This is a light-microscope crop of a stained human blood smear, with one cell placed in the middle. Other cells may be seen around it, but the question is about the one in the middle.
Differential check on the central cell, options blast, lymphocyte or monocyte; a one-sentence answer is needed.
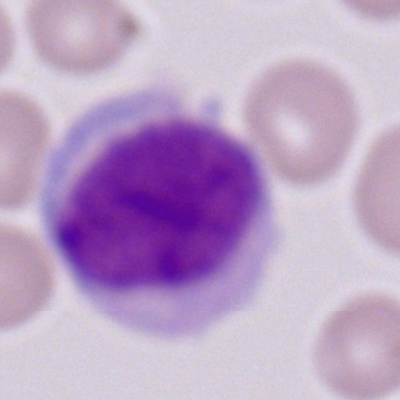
To answer, the cell in the center of the crop is a monocyte.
